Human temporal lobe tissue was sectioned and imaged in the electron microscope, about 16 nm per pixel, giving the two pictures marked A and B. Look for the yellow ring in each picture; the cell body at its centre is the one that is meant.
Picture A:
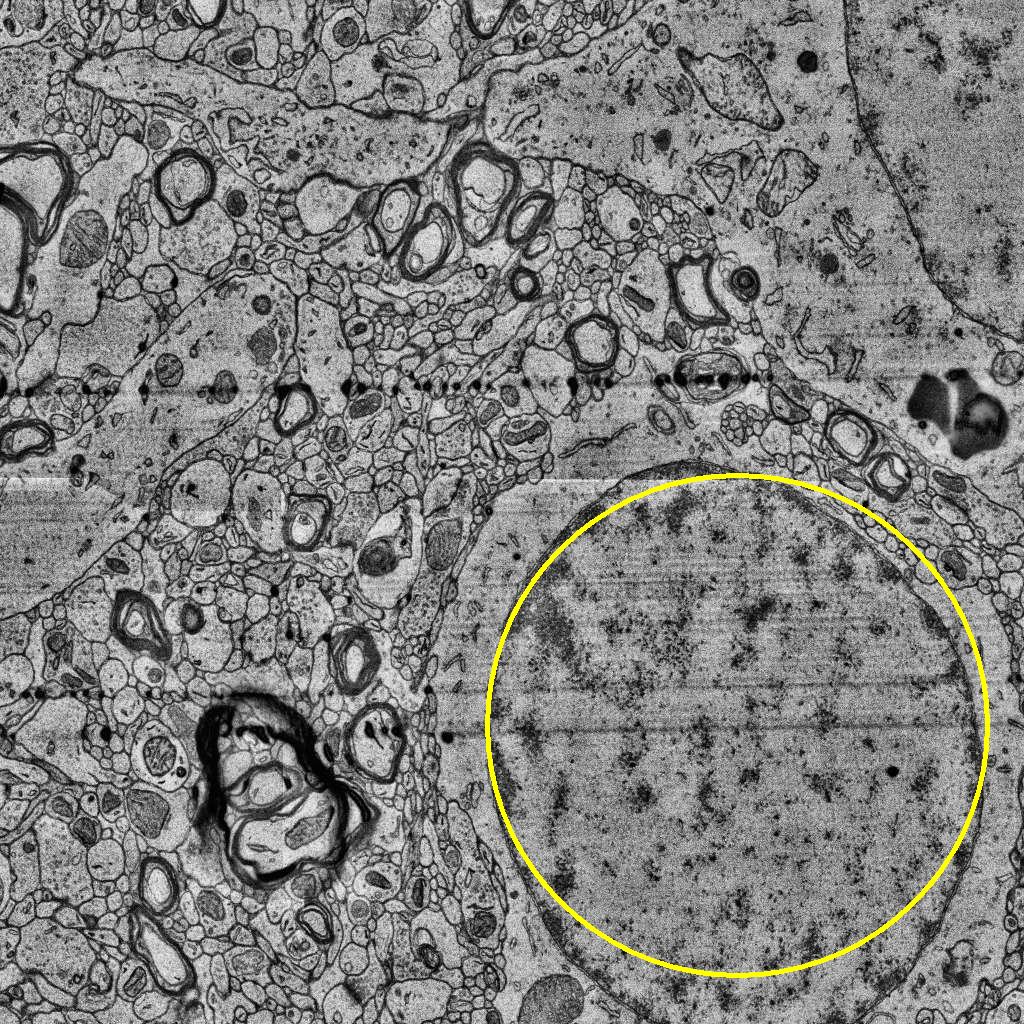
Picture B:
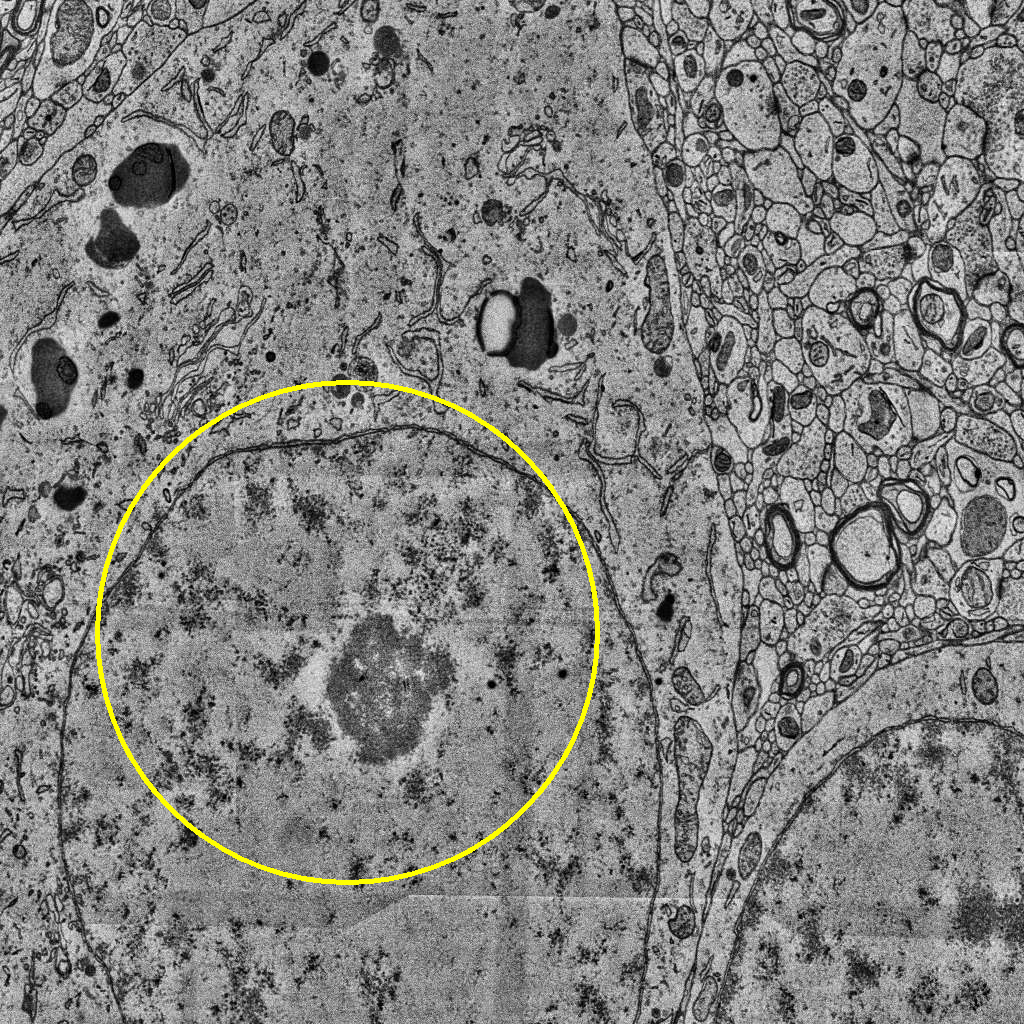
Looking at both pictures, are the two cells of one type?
No, picture A shows an astrocyte and picture B shows a pyramidal neuron.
